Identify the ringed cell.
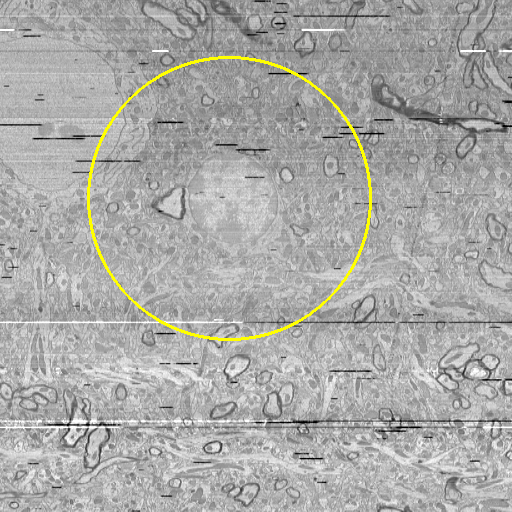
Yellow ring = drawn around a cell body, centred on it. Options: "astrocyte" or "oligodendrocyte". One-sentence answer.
What the ring is centred on is an oligodendrocyte.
